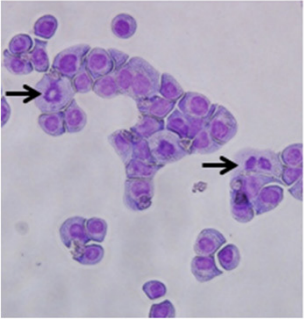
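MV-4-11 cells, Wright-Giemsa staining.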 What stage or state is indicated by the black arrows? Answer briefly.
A: mitotic cells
